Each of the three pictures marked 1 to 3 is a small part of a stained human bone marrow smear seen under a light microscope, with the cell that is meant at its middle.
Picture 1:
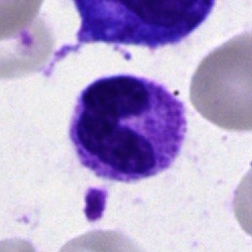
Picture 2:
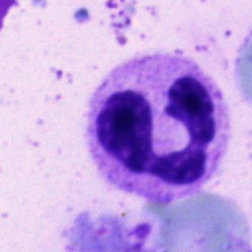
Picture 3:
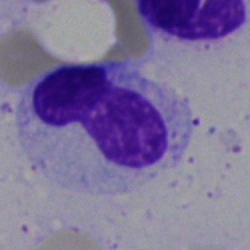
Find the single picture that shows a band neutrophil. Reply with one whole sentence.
Picture 3 is the one that shows the band neutrophil.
